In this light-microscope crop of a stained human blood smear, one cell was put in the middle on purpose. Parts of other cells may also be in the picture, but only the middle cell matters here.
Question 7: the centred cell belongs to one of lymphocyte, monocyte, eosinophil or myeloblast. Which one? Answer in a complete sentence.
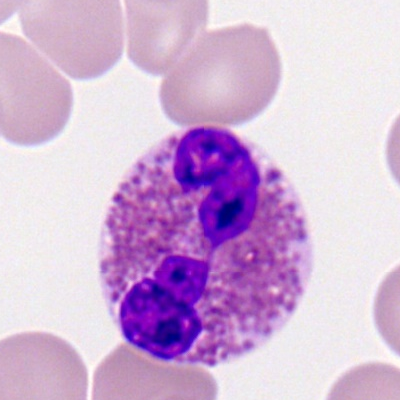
In short, the cell at the center is an eosinophil.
